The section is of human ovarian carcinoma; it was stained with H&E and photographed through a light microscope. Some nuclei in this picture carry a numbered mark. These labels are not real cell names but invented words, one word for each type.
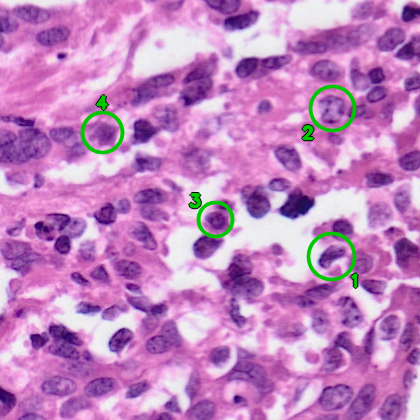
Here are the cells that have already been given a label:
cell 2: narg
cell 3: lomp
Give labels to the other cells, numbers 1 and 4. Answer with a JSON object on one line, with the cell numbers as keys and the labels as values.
{"1": "lomp", "4": "lomp"}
